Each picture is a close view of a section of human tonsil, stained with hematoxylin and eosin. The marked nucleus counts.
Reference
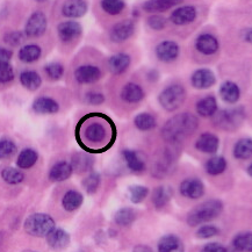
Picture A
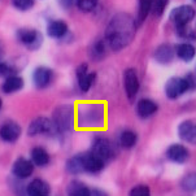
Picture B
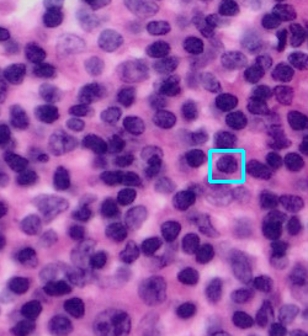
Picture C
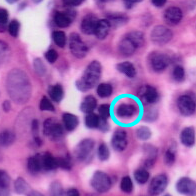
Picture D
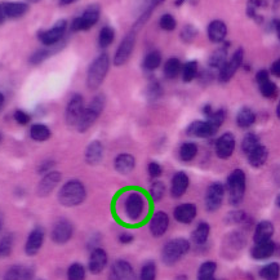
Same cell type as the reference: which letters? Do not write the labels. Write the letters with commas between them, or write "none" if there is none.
C, D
